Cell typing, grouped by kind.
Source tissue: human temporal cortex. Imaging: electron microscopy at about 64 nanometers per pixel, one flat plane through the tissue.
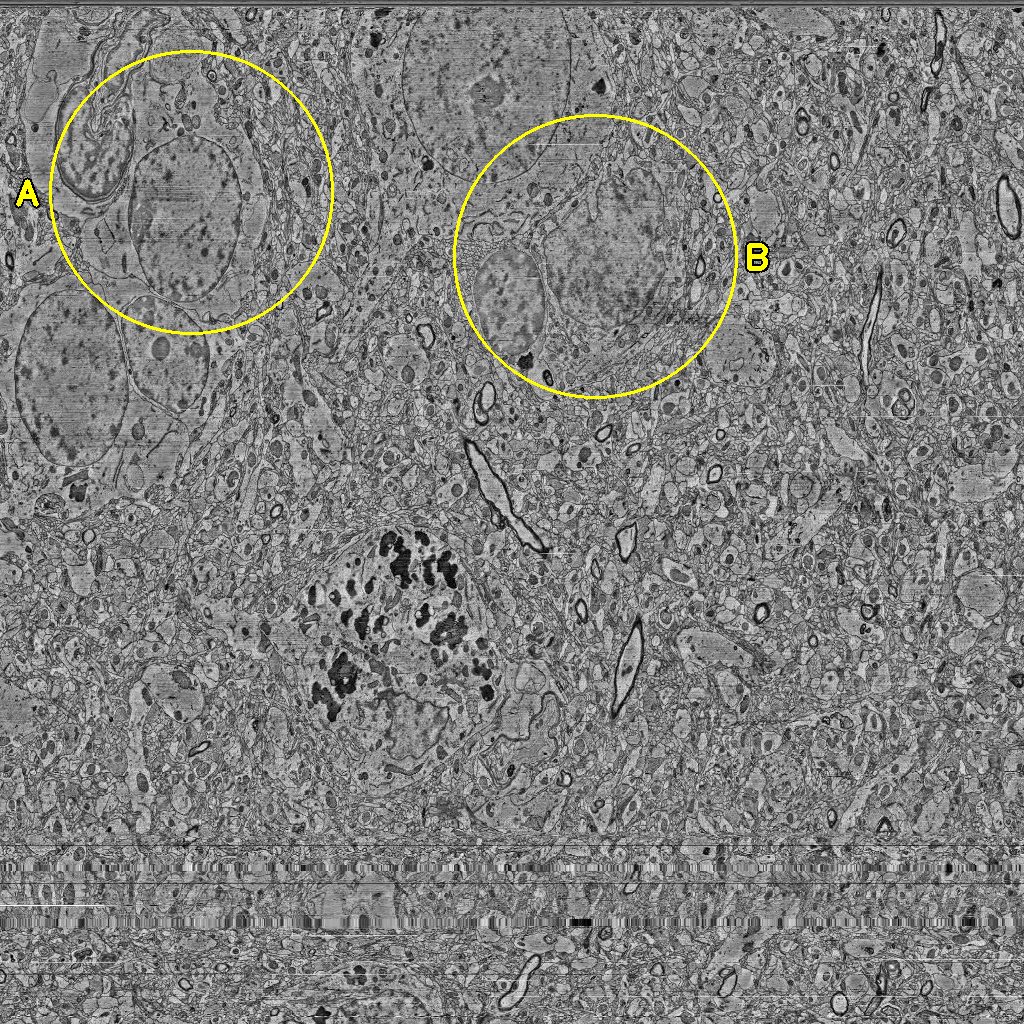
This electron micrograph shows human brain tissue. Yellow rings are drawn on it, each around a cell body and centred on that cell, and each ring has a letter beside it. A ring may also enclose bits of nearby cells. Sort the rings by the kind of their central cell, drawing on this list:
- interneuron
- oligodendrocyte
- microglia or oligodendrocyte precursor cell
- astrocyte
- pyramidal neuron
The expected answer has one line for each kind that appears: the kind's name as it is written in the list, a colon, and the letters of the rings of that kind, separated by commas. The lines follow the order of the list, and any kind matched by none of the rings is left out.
interneuron: B
astrocyte: A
